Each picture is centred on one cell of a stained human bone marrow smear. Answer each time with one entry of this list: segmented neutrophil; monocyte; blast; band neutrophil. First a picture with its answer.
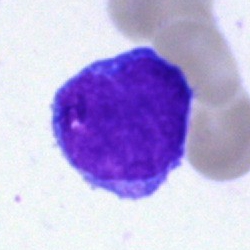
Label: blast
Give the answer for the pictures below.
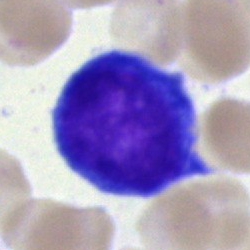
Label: blast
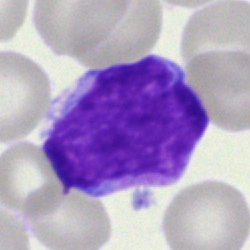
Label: blast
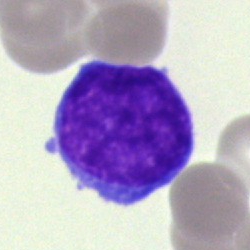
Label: blast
